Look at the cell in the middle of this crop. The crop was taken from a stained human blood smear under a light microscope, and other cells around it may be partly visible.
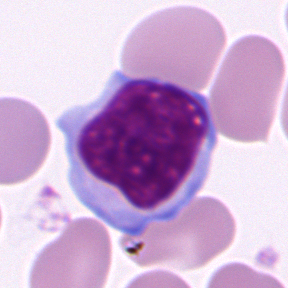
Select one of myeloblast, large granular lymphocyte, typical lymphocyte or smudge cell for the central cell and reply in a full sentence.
The cell shown in the center of this light-microscope crop is a typical lymphocyte.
